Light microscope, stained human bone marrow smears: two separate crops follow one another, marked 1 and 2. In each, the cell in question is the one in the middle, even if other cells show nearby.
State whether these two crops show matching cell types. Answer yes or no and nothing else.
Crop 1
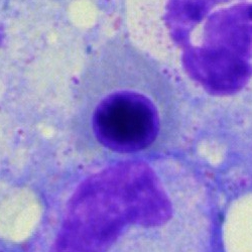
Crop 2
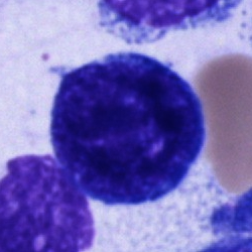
no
